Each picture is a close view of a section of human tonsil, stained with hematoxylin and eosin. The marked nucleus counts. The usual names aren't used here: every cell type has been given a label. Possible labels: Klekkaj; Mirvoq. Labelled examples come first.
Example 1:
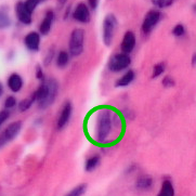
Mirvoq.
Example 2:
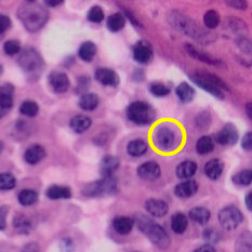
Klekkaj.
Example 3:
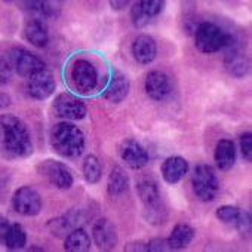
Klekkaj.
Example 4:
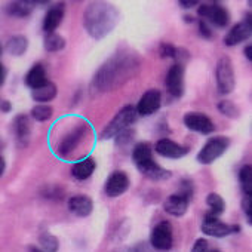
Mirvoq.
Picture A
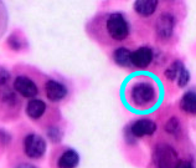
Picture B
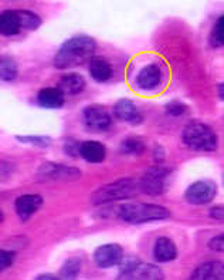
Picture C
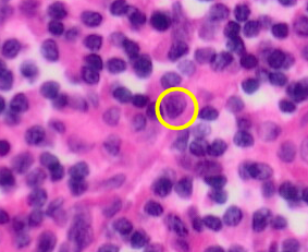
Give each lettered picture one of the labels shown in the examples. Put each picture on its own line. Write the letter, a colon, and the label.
A: Klekkaj.
B: Klekkaj.
C: Mirvoq.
